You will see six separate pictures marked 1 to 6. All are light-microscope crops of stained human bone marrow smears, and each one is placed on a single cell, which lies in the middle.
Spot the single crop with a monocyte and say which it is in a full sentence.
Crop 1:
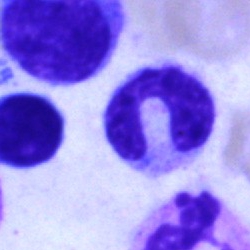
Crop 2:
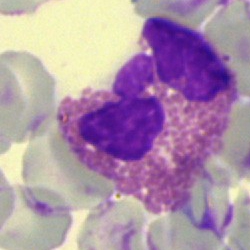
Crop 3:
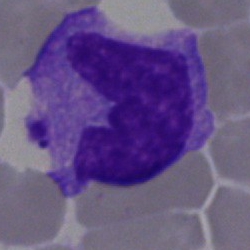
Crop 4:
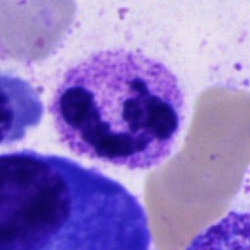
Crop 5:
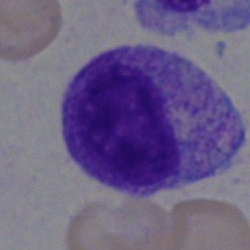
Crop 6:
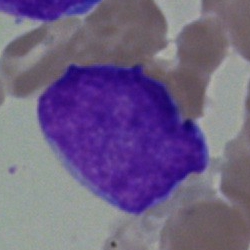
The crop that has a monocyte in the middle is crop 3.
